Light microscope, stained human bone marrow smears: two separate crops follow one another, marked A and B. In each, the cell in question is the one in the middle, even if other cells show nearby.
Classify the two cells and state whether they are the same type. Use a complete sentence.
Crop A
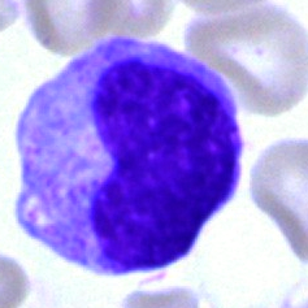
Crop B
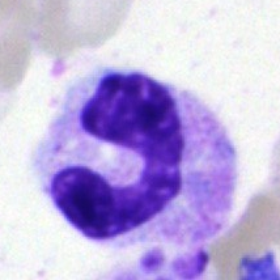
No, that is not right; crop A shows a monocyte and crop B shows a band neutrophil.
